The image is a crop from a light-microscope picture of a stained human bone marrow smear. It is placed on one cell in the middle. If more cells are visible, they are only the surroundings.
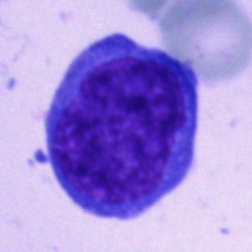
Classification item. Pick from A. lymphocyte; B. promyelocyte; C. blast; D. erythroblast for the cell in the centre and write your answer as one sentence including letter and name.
What option C states is correct, the central cell being a blast.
